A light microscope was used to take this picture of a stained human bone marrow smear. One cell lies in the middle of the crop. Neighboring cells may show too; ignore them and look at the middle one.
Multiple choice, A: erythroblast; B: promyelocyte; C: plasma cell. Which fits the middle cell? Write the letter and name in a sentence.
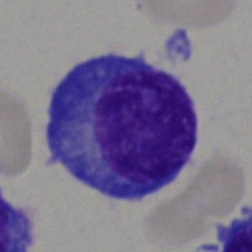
The cell in the middle is a plasma cell, so option C is correct.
